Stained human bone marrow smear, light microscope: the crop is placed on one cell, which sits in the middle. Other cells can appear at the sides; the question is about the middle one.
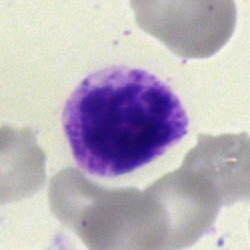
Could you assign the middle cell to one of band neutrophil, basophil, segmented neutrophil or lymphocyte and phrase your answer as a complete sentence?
The cell in the middle of this crop is a basophil.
